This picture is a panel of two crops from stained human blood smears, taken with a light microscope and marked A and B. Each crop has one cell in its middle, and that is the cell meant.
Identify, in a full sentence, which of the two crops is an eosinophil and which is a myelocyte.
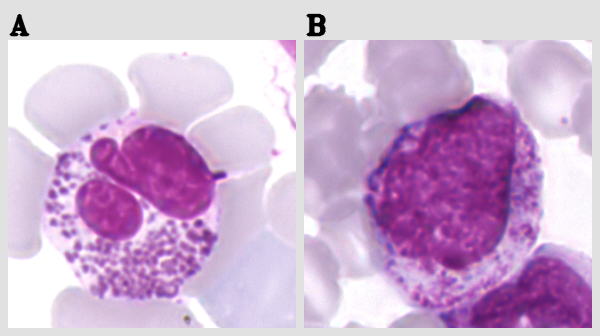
Crop A holds an eosinophil; crop B holds a myelocyte.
